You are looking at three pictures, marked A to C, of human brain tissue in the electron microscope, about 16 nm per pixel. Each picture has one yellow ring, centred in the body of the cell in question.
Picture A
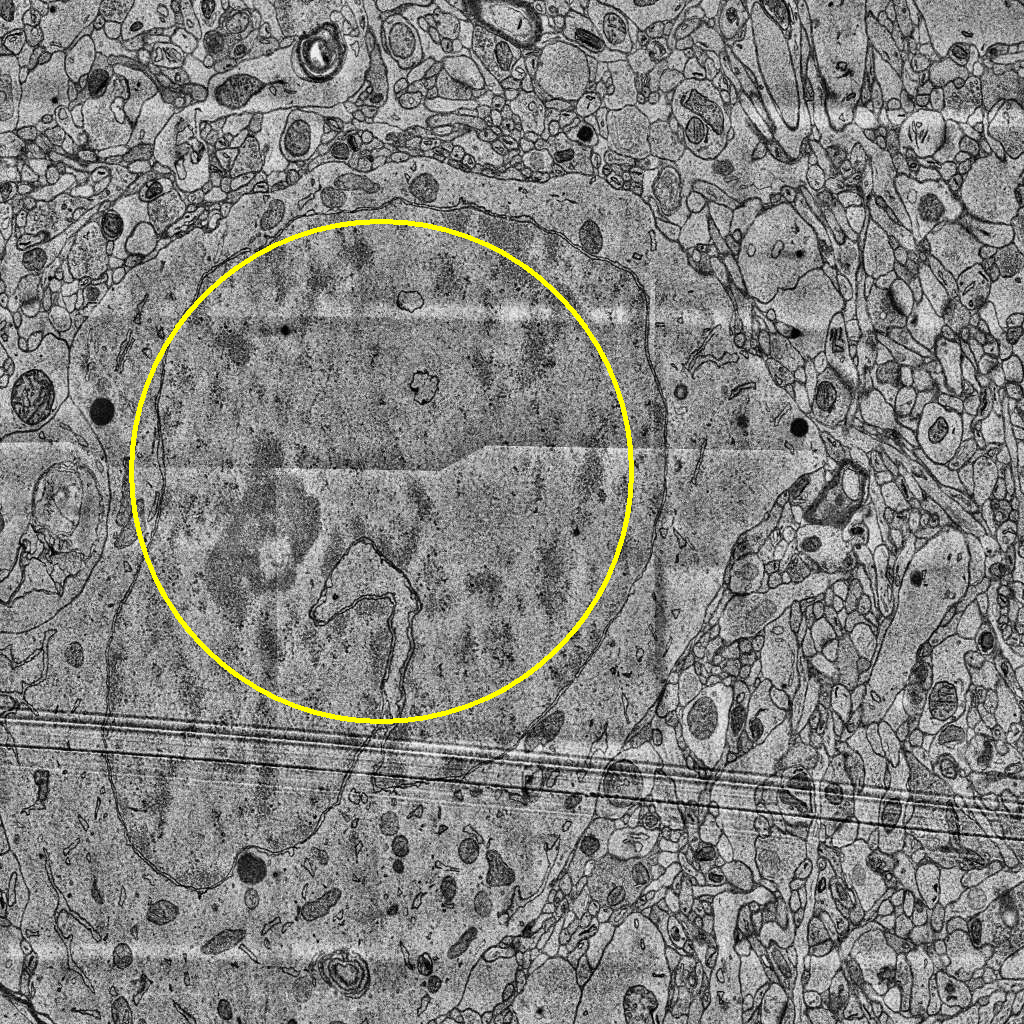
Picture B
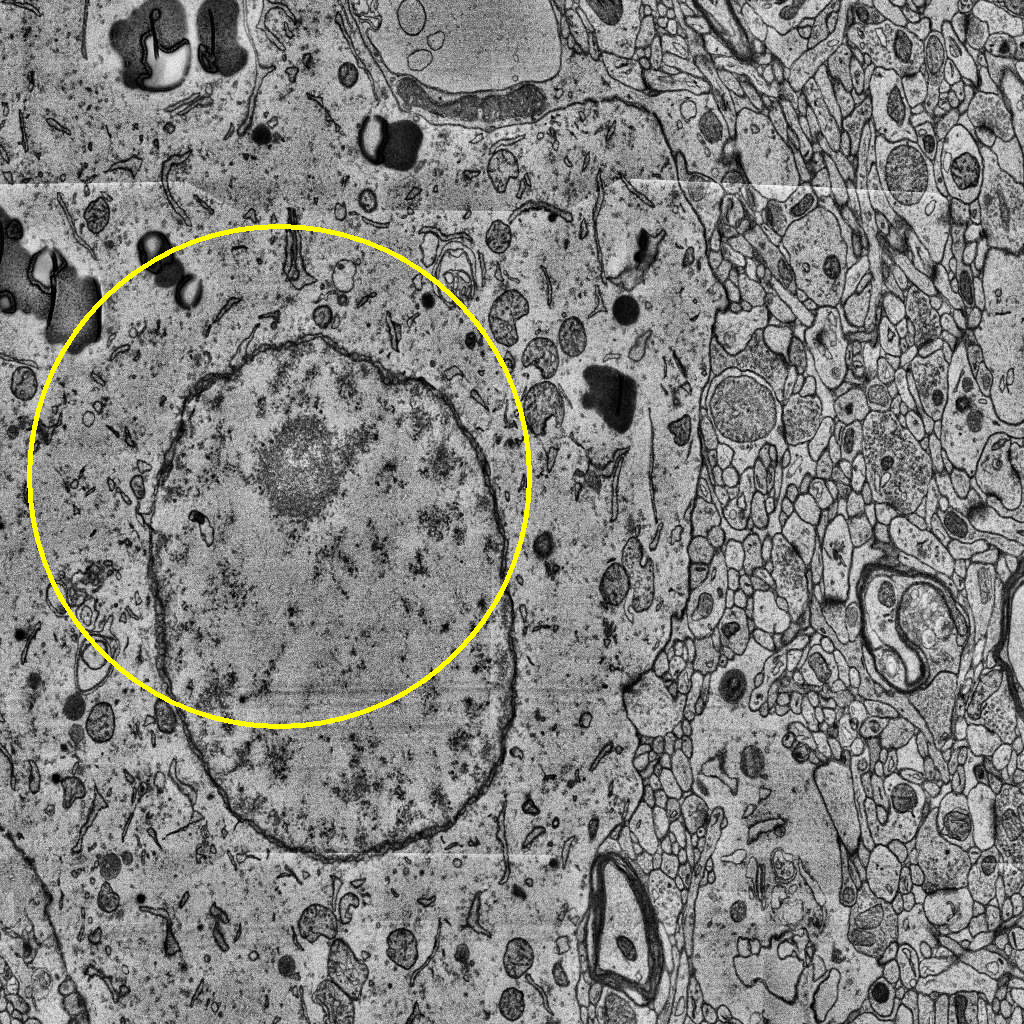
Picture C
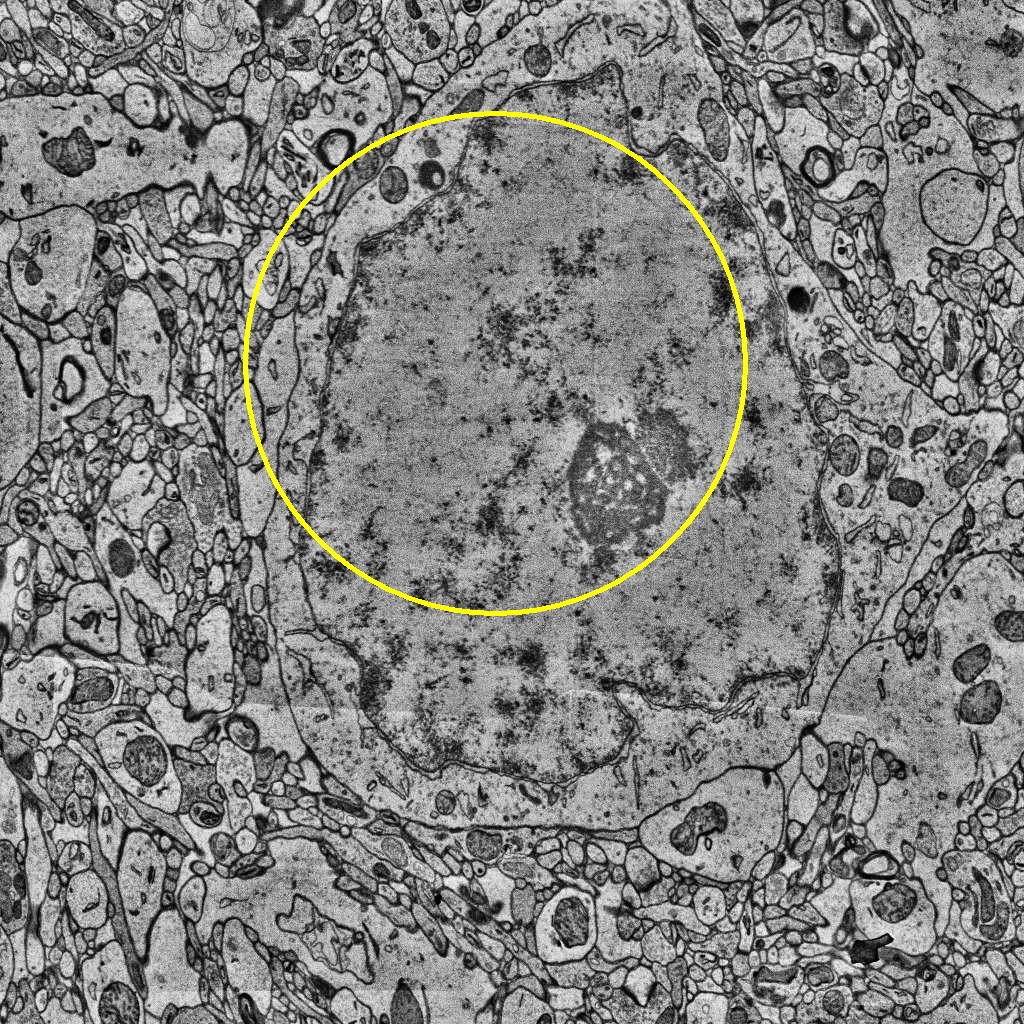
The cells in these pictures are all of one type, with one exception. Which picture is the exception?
Picture B is the odd one out: it shows a pyramidal neuron, while the others show interneurons.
